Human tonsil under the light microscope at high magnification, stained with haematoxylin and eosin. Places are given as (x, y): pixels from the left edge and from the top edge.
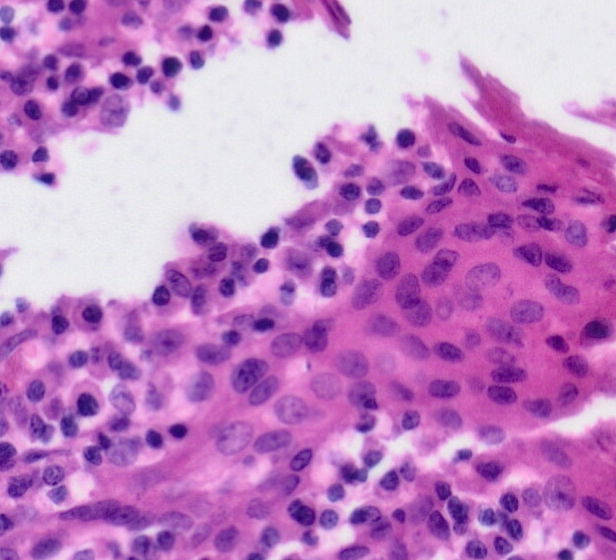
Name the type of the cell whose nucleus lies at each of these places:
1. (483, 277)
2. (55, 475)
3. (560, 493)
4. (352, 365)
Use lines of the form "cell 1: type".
cell 1: squamous epithelial cell
cell 2: plasma cell
cell 3: squamous epithelial cell
cell 4: squamous epithelial cell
